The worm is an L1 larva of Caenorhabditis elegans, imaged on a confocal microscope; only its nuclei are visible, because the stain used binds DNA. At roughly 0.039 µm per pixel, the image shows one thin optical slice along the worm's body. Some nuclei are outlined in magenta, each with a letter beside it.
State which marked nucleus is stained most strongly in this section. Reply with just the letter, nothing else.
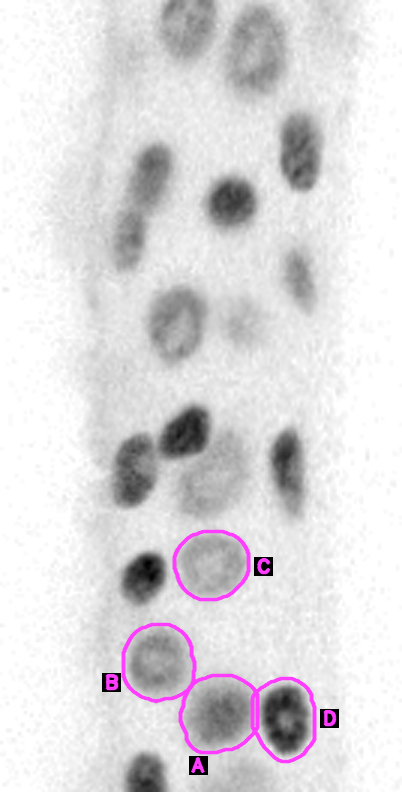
D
